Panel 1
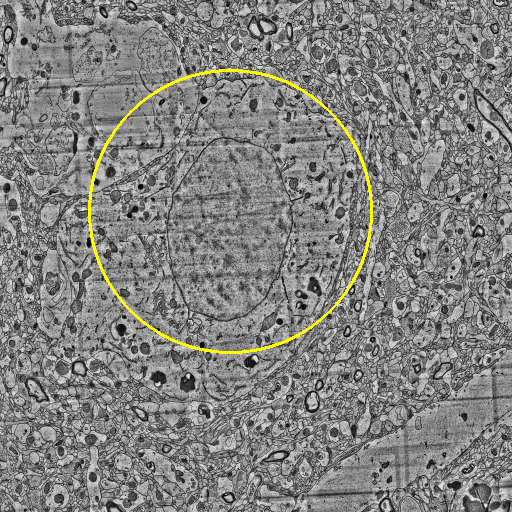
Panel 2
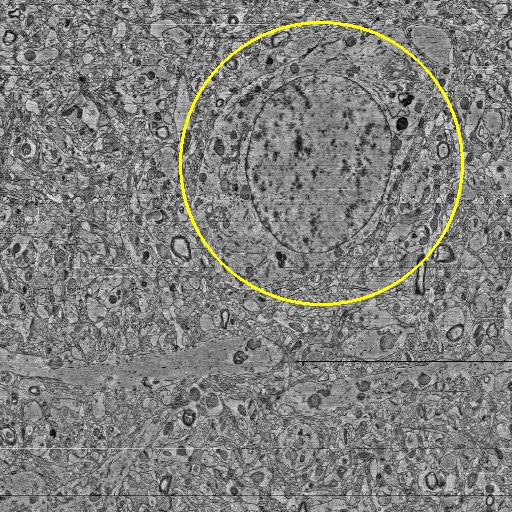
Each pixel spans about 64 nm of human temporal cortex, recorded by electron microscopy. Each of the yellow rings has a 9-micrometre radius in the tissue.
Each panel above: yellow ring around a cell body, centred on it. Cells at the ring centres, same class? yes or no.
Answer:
yes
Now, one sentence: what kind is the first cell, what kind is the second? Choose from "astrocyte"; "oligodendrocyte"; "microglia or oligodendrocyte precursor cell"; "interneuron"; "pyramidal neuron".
In each picture the ringed cell is a pyramidal neuron.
